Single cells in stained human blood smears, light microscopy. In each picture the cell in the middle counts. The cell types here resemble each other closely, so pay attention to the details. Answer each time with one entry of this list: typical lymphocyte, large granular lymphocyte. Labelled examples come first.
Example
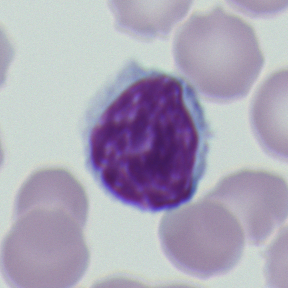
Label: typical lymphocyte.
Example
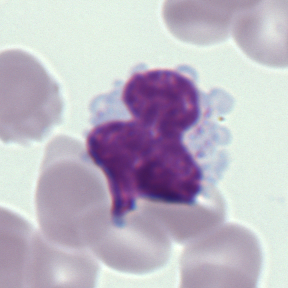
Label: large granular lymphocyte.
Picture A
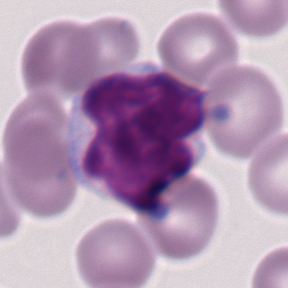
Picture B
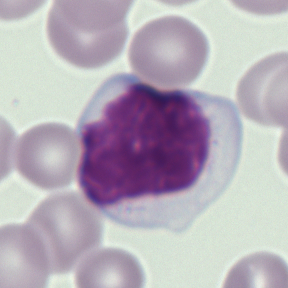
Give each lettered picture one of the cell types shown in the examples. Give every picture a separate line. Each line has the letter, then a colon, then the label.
A: large granular lymphocyte.
B: large granular lymphocyte.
